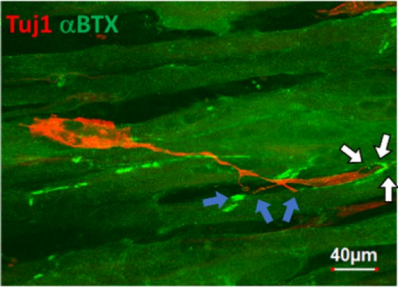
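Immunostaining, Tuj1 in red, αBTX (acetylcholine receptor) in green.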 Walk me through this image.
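This merged fluorescence image shows a motor neuron in red lying on a bed of elongated, parallel myotubes that are faintly green. The neuron has a large irregular cell body on the left from which a long, thin axon runs to the right along the fibres and splits into fine branches at its end.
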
